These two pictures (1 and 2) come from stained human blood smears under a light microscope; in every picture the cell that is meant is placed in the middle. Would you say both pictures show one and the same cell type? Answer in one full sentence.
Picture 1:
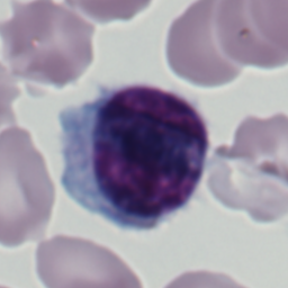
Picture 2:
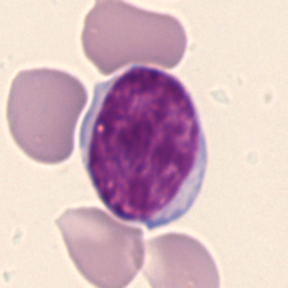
No, the types are not the same, since picture 1 shows a hairy cell and picture 2 a myeloblast.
